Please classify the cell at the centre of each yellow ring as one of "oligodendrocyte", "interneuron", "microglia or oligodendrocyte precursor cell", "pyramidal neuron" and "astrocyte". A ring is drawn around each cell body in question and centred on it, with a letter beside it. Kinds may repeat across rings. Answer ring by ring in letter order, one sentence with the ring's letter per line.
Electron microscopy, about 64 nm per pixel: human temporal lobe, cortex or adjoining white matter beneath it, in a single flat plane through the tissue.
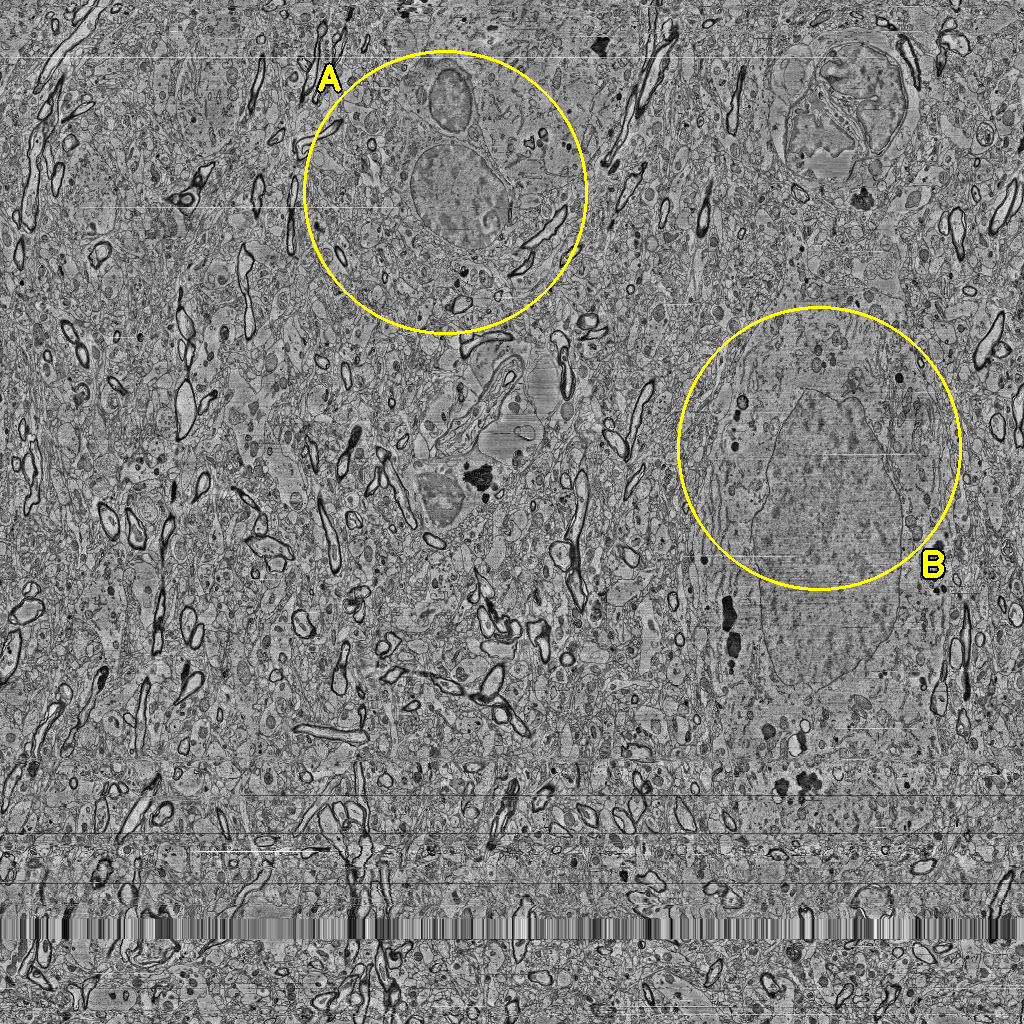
The cell at the heart of ring A is an oligodendrocyte.
The cell at the heart of ring B is a pyramidal neuron.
